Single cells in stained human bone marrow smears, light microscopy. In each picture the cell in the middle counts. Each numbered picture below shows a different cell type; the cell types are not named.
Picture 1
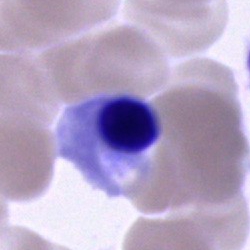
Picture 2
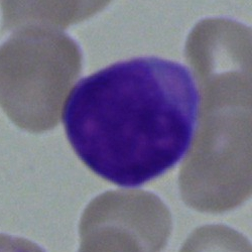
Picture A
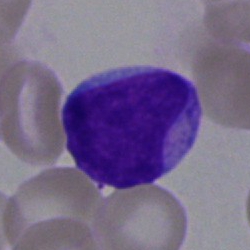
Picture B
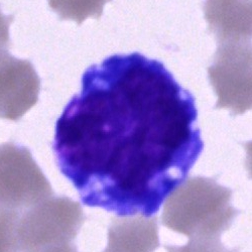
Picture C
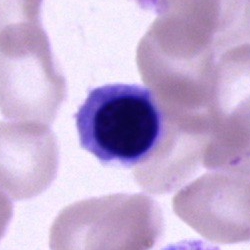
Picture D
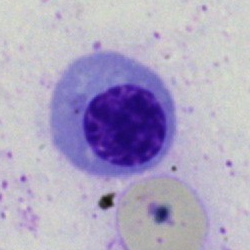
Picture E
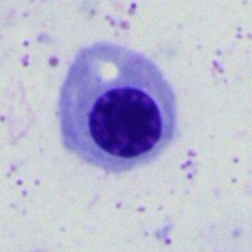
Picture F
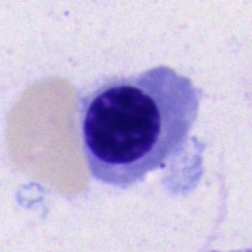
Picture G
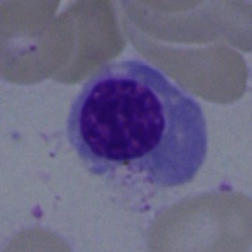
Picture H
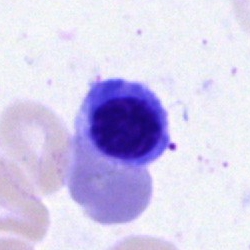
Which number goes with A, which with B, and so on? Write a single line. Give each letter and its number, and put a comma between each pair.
A 2, B 2, C 1, D 1, E 1, F 1, G 1, H 1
